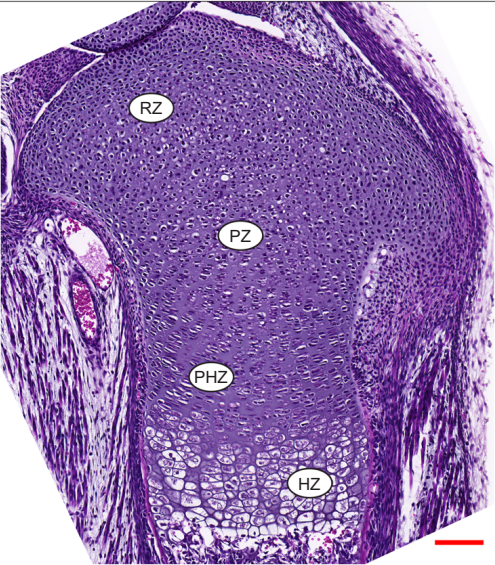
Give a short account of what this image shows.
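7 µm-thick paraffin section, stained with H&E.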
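Growth plate cartilage with chondrocytes in lacunae set in purple matrix, arranged in successive zones along the long axis. At the top, small round cells lie scattered; below, they become flattened and stack into columns, then enlarge, and at the bottom they form large pale swollen cells with thin matrix septa between them. Dense fibrous tissue with spindle-shaped cells and a blood vessel flanks the cartilage on the sides.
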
